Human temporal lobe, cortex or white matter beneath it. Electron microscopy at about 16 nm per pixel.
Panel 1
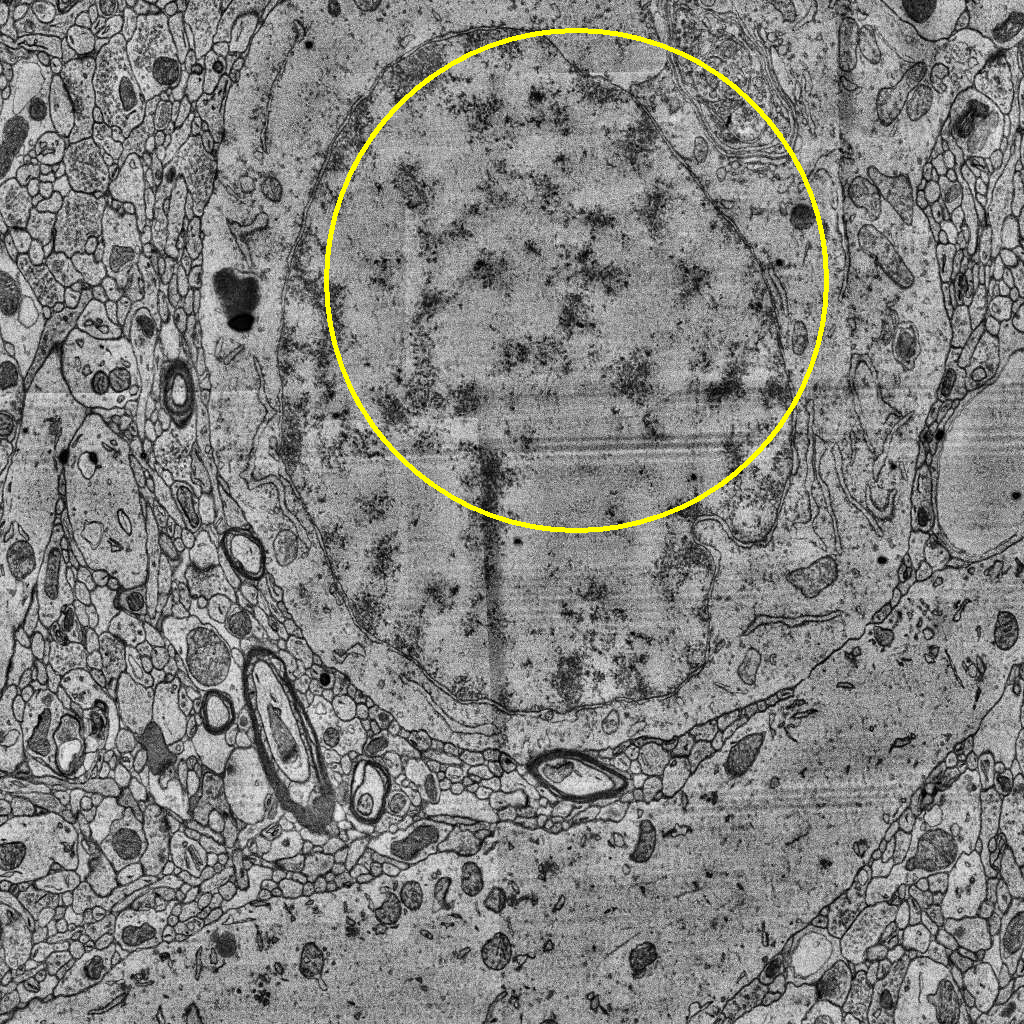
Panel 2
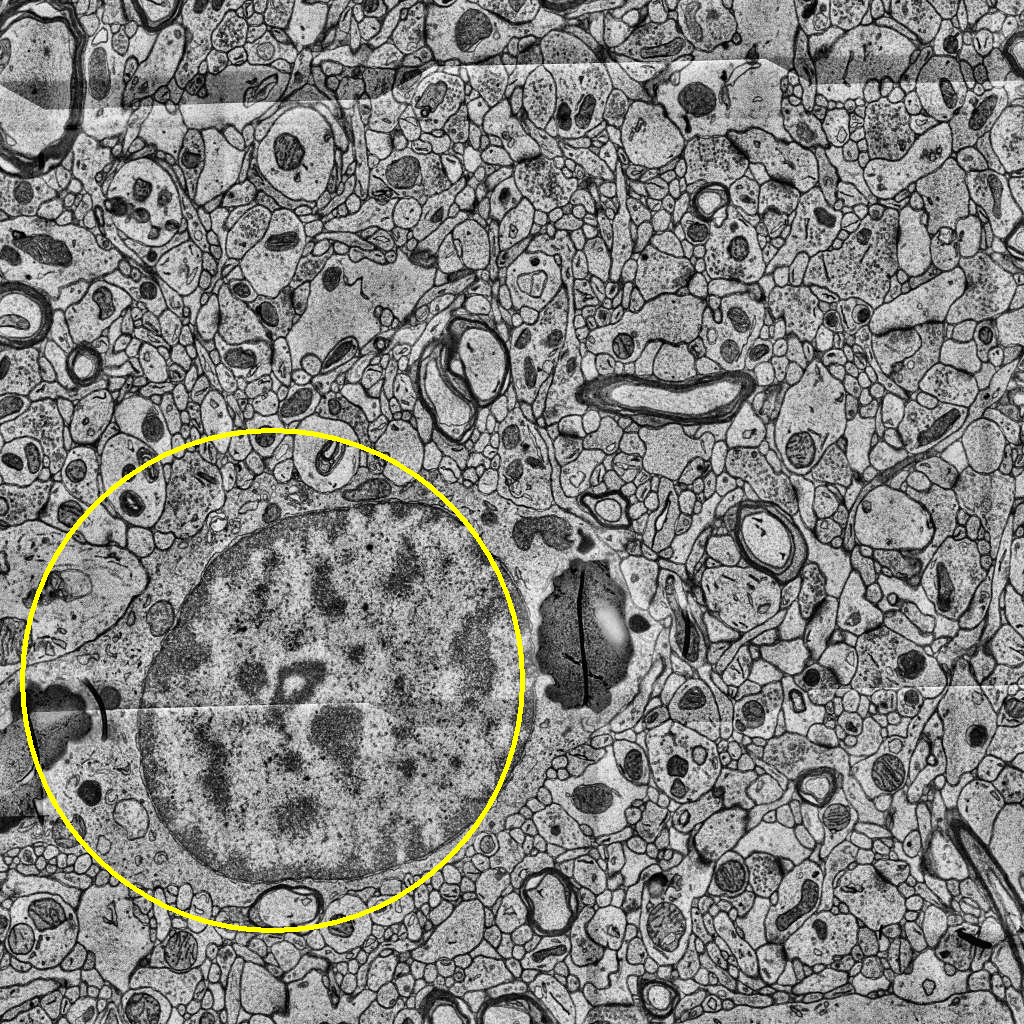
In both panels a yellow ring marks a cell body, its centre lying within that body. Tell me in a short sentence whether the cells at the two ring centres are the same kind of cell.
No, they are two kinds of cell.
